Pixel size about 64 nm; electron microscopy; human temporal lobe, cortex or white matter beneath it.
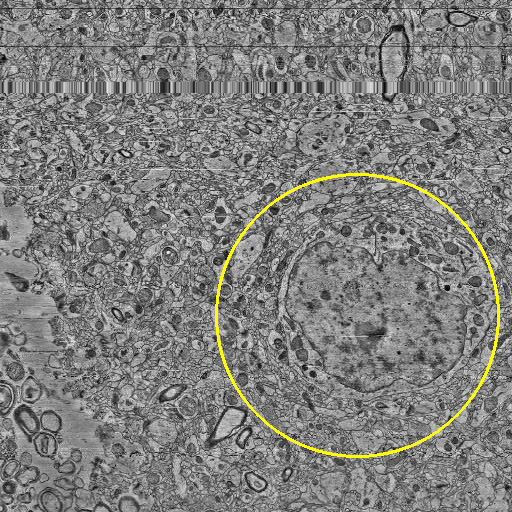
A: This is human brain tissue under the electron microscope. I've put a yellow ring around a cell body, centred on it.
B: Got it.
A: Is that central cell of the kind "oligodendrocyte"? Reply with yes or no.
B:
no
